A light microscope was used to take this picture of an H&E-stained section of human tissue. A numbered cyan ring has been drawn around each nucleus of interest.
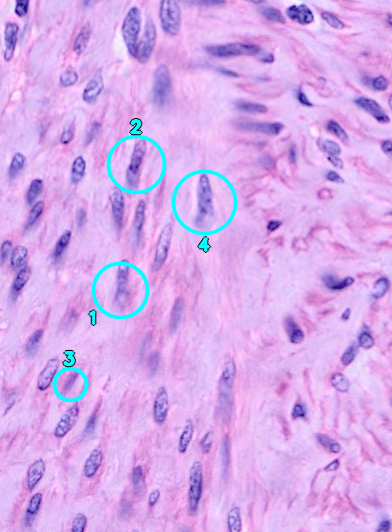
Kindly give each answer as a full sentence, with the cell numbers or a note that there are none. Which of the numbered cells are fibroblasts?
Only one choice fits: cell 4 is a fibroblast, and no other.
